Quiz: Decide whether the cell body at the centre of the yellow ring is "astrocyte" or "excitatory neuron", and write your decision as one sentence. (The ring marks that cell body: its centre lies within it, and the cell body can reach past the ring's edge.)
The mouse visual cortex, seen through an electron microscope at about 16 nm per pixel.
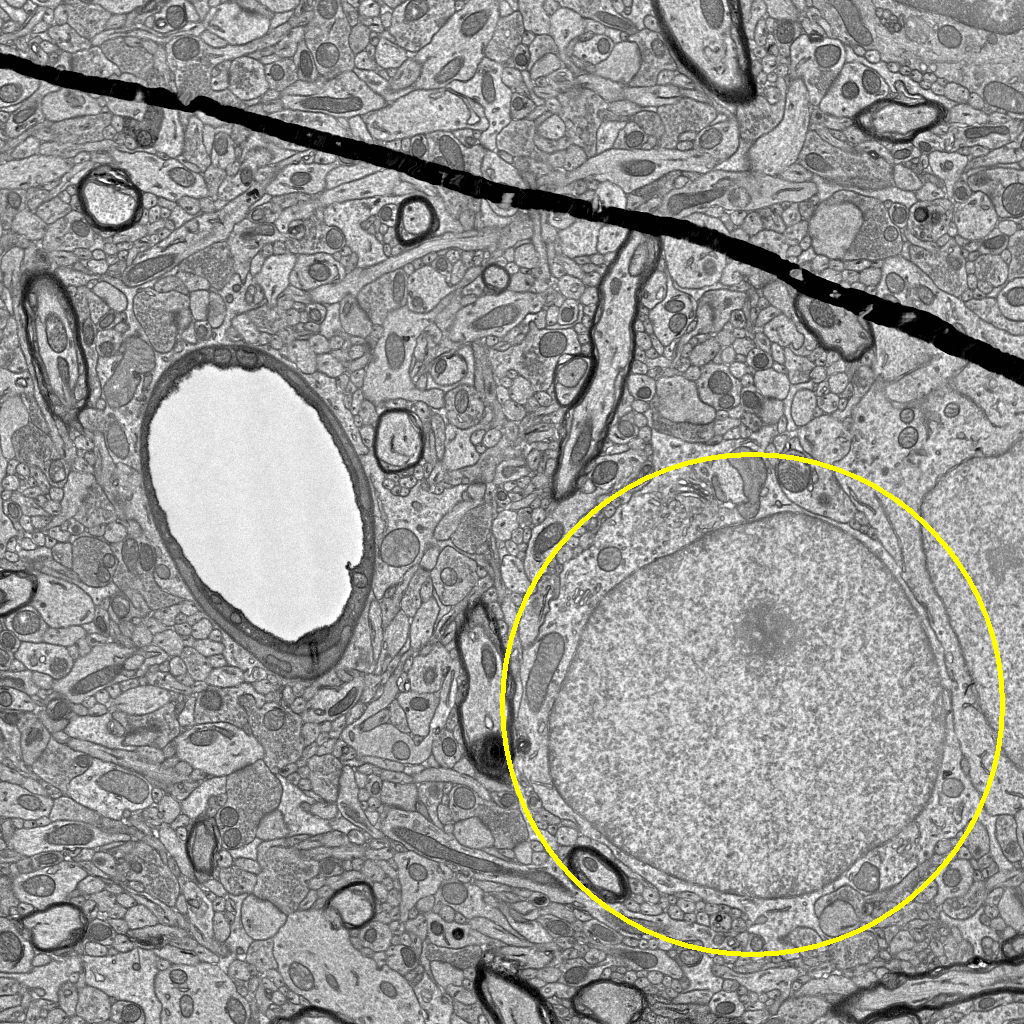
The cell holding the ring's centre is an astrocyte.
